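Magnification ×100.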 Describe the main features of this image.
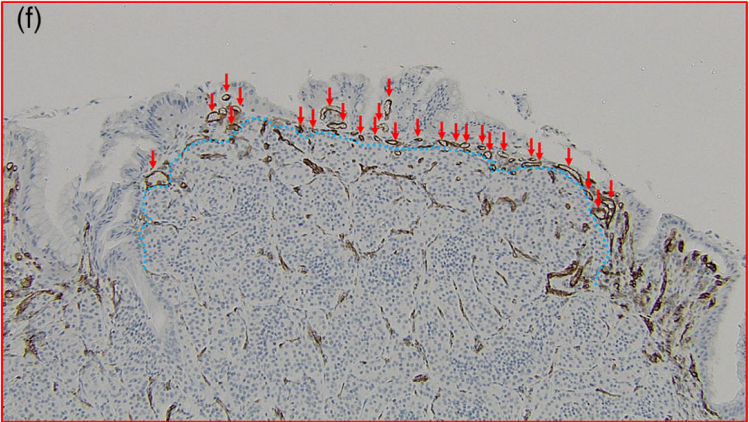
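This is gastric mucosa with a tumor made of small, uniform cells in rounded nests, separated by delicate brown-stained vessels, filling the mucosa just under the surface. Along the top of the tumor runs a dense row of dilated, thin-walled capillaries, stained brown, pressed right against it. At the edges of the field, normal-looking gastric pits and epithelium with more stroma can be seen for comparison.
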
